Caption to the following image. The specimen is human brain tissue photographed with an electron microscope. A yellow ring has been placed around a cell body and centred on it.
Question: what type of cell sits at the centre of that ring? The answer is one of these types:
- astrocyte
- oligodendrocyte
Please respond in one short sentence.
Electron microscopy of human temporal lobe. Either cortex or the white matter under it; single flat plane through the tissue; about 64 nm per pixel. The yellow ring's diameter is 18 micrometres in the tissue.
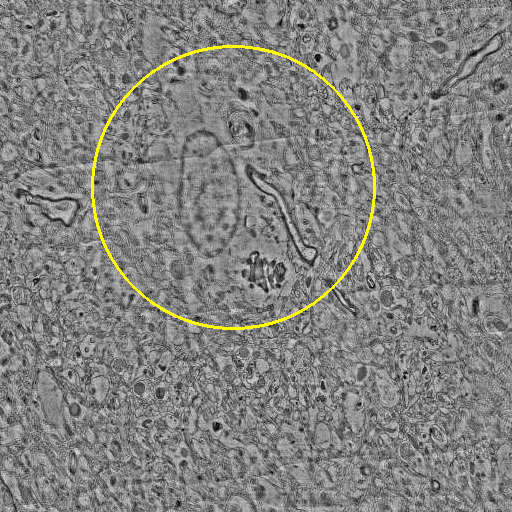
The ring surrounds the cell body of an astrocyte.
